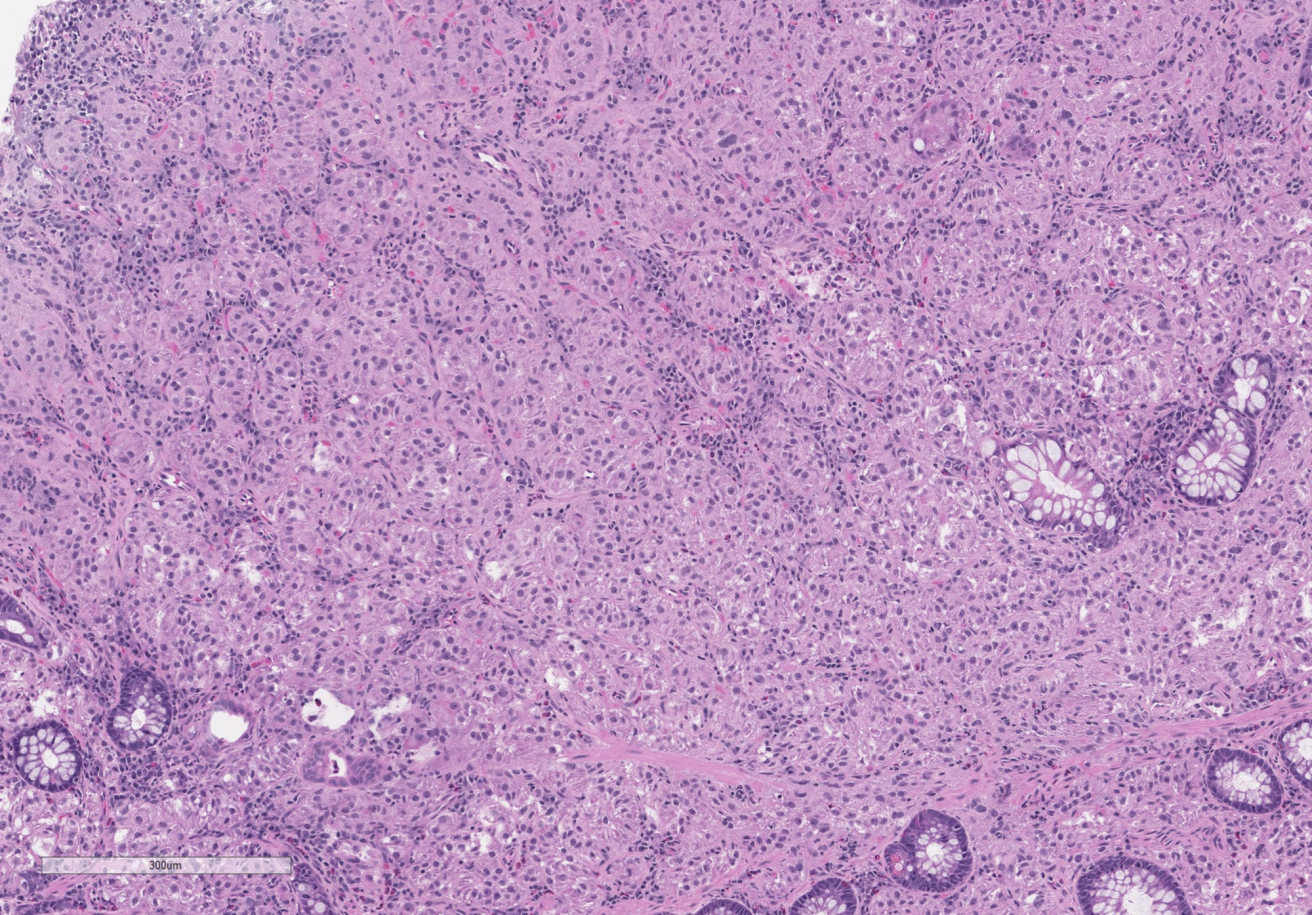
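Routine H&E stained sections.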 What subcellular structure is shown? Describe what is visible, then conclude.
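Granular eosinophilic cytoplasm. Cell cytoplasm is abundant and pink. Cytoplasm has a fine, granular to slightly pale texture.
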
